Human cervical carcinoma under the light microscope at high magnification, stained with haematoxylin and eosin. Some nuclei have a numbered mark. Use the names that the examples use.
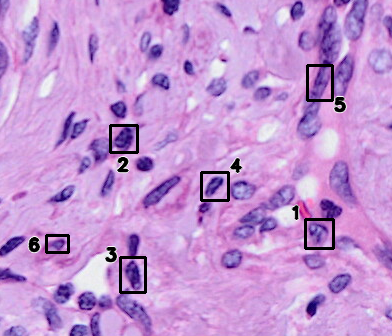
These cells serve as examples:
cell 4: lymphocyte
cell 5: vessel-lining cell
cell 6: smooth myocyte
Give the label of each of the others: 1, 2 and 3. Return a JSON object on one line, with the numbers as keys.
{"1": "vessel-lining cell", "2": "lymphocyte", "3": "lymphocyte"}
